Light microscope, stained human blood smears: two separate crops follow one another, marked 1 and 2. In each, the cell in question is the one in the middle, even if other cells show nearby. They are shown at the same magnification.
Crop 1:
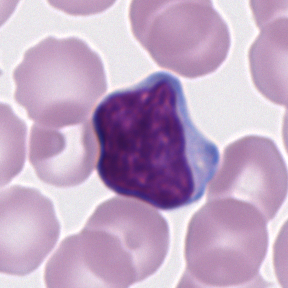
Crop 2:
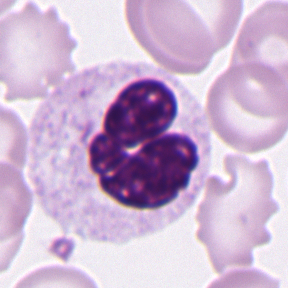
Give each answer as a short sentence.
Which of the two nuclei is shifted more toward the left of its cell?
Seen within its cell, the nucleus in crop 1 lies further toward the left.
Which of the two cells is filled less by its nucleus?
It is the cell in crop 2 that is filled less by its nucleus.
